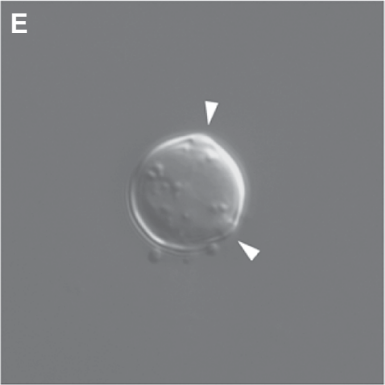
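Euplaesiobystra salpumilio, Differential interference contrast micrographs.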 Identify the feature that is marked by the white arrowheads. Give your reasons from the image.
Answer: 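A round cell is enclosed by a refractile wall. The arrowheads point at two small spots on the wall. The answer: cyst pores.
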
